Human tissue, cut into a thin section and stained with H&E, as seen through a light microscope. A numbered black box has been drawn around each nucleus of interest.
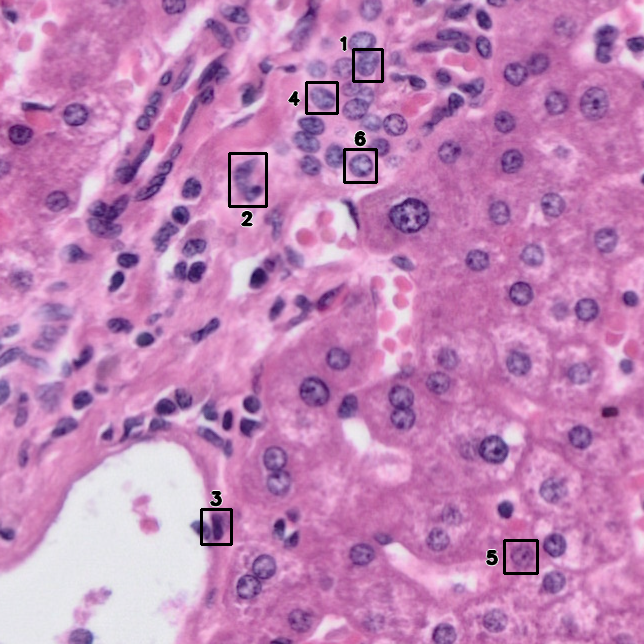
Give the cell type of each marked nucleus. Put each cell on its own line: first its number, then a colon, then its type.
1: cholangiocyte
2: fibroblast or stellate cell
3: fibroblast or stellate cell
4: cholangiocyte
5: hepatocyte
6: cholangiocyte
